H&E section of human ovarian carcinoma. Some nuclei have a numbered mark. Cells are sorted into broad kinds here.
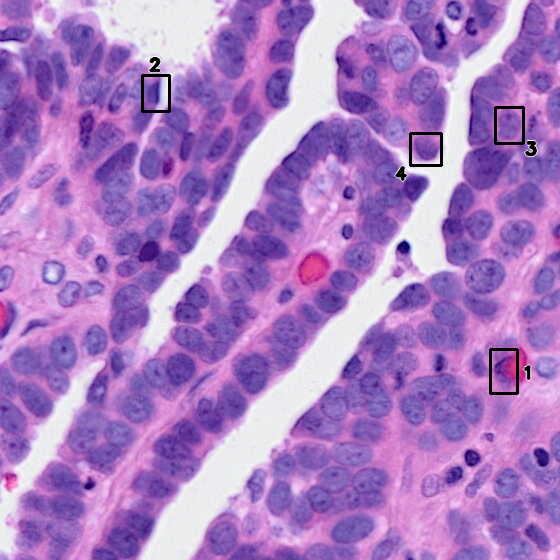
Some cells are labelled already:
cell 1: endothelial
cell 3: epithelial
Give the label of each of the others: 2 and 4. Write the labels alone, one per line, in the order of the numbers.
epithelial
epithelial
